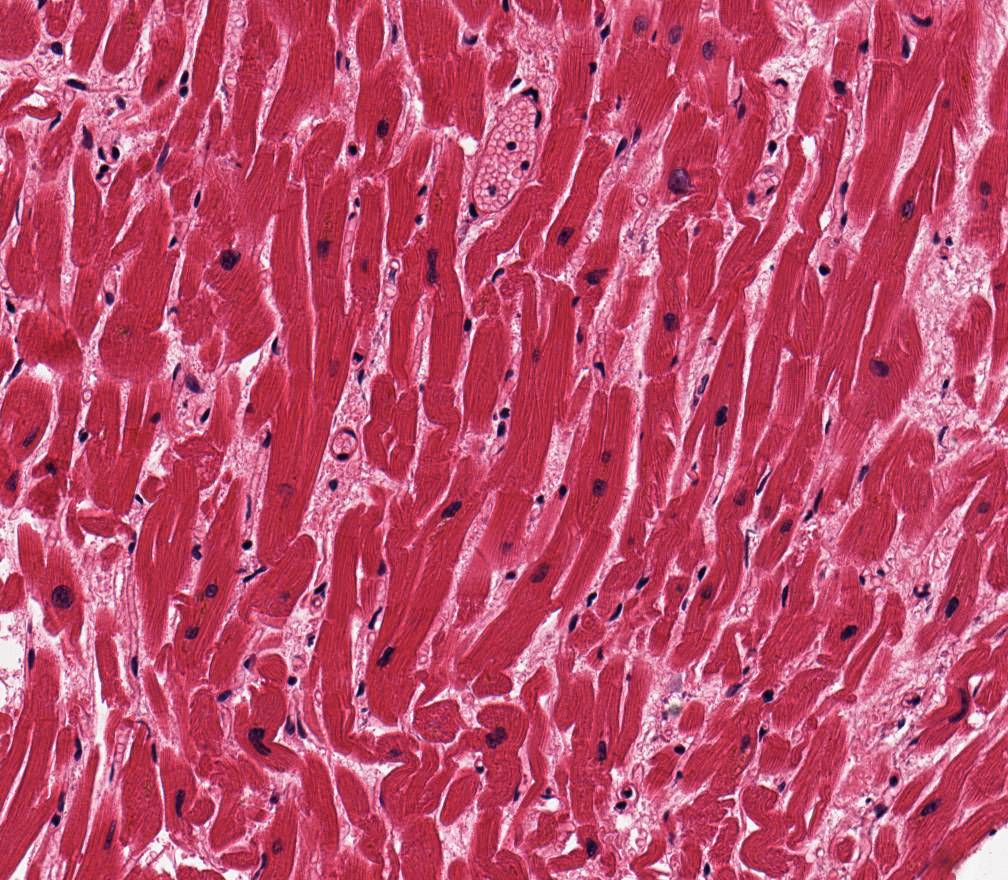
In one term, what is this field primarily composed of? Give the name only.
myocardium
